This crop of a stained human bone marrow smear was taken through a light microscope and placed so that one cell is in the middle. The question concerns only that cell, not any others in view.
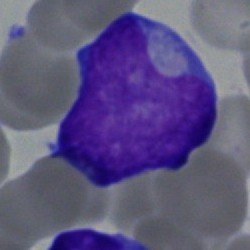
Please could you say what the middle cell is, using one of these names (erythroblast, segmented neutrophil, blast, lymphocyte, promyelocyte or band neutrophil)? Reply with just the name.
blast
